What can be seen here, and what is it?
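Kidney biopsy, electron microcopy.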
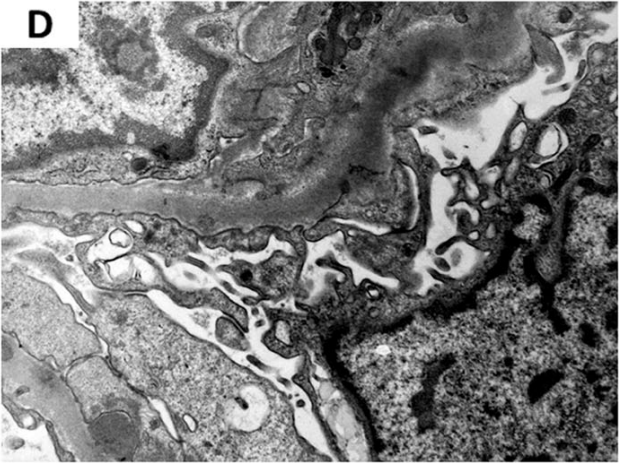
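Electron micrograph of a glomerular capillary wall with podocytes overlying the basement membrane. Dark, dense deposits lie on the outer, epithelial side of the basement membrane, and the podocyte cytoplasm spreads over it as a broad sheet rather than separate foot processes. Large nuclei of the neighbouring cells fill the corners.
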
